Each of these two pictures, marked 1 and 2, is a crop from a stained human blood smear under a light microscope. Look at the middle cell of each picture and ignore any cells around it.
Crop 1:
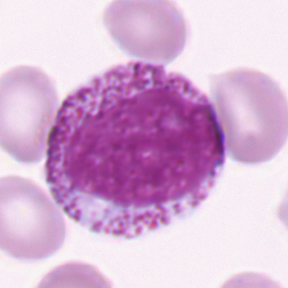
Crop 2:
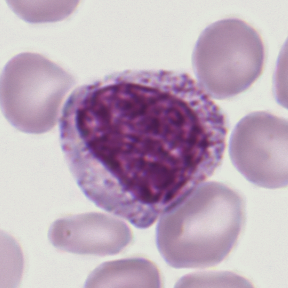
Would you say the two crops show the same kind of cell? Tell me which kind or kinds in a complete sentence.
No, a myelocyte is centred in crop 1, and a metamyelocyte is centred in crop 2.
